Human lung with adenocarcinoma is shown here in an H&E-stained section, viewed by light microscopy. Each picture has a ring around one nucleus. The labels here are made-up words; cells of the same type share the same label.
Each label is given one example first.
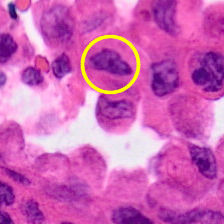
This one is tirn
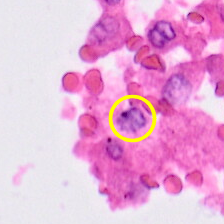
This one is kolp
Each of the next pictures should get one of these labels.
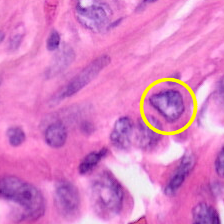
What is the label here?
tirn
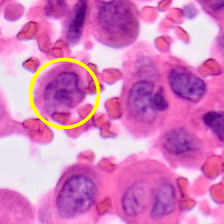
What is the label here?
tirn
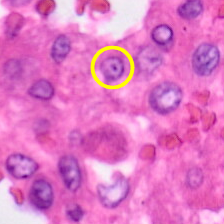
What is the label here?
kolp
